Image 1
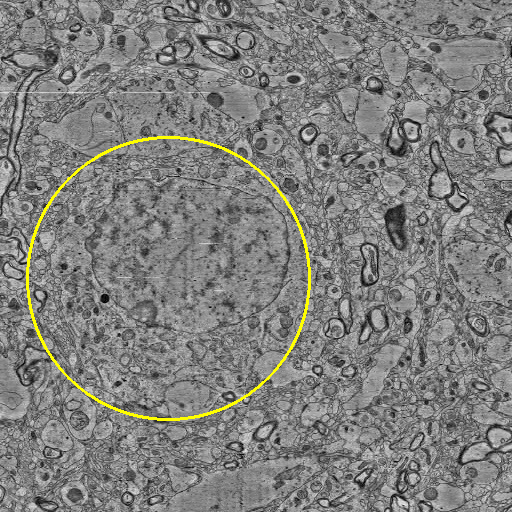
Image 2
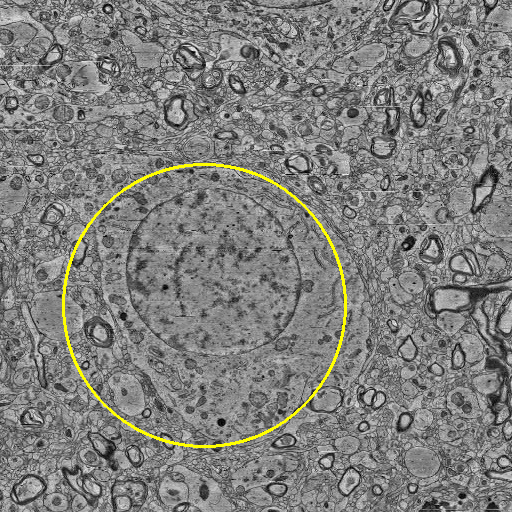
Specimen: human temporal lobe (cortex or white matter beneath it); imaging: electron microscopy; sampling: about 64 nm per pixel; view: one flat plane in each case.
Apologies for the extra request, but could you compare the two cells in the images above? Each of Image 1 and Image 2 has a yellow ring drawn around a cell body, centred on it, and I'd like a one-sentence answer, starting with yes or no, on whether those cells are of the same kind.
Yes, both cells are of the same kind.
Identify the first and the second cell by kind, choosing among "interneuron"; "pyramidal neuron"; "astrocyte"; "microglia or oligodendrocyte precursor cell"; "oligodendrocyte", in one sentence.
In each picture the ringed cell is an interneuron.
